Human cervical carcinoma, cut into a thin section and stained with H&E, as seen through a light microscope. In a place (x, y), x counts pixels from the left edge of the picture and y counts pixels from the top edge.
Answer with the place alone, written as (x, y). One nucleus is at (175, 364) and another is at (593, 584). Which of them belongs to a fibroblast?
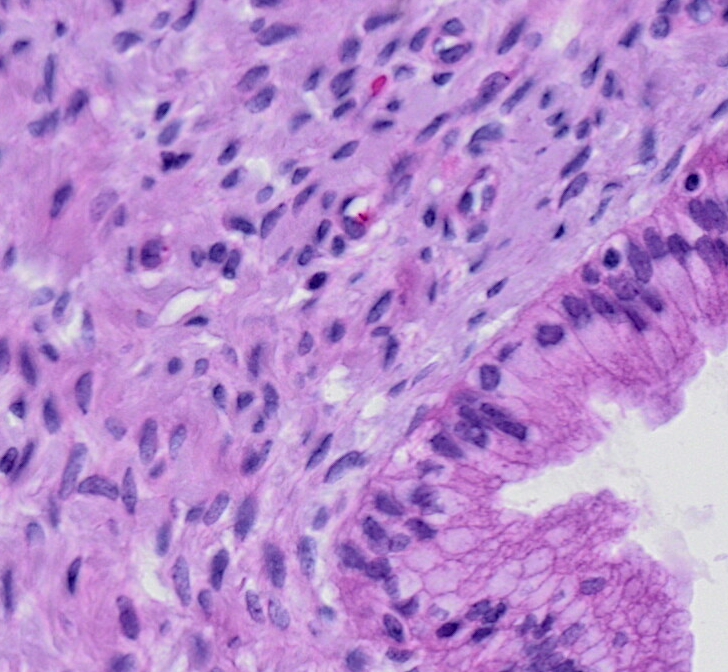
(175, 364)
